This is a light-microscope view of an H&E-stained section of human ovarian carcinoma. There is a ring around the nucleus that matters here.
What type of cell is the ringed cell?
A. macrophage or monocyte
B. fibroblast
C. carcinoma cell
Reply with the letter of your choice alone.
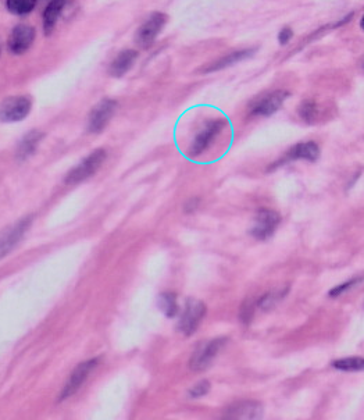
B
